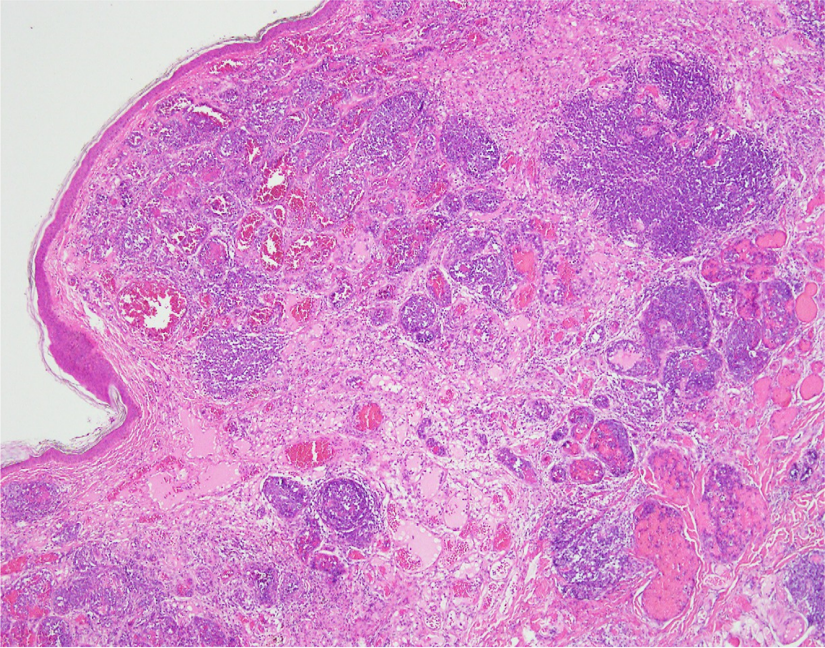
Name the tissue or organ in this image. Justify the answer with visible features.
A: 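A thin stratified surface epithelium covers the upper left edge. Dermis with vessels and connective tissue lies beneath it. On this evidence: skin.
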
